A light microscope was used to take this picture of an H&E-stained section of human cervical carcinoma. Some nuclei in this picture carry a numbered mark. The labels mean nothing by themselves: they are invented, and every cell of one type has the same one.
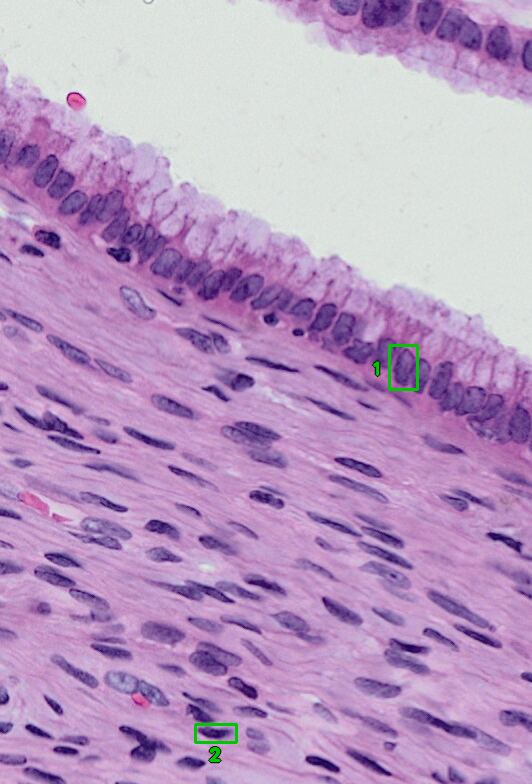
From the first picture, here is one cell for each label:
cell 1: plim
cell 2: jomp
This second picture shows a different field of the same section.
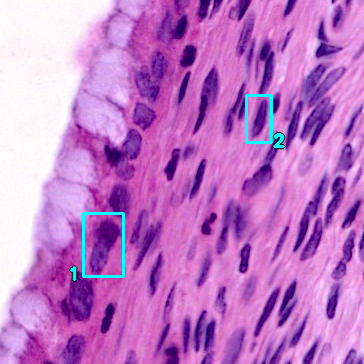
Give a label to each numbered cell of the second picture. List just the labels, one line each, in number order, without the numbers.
plim
jomp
